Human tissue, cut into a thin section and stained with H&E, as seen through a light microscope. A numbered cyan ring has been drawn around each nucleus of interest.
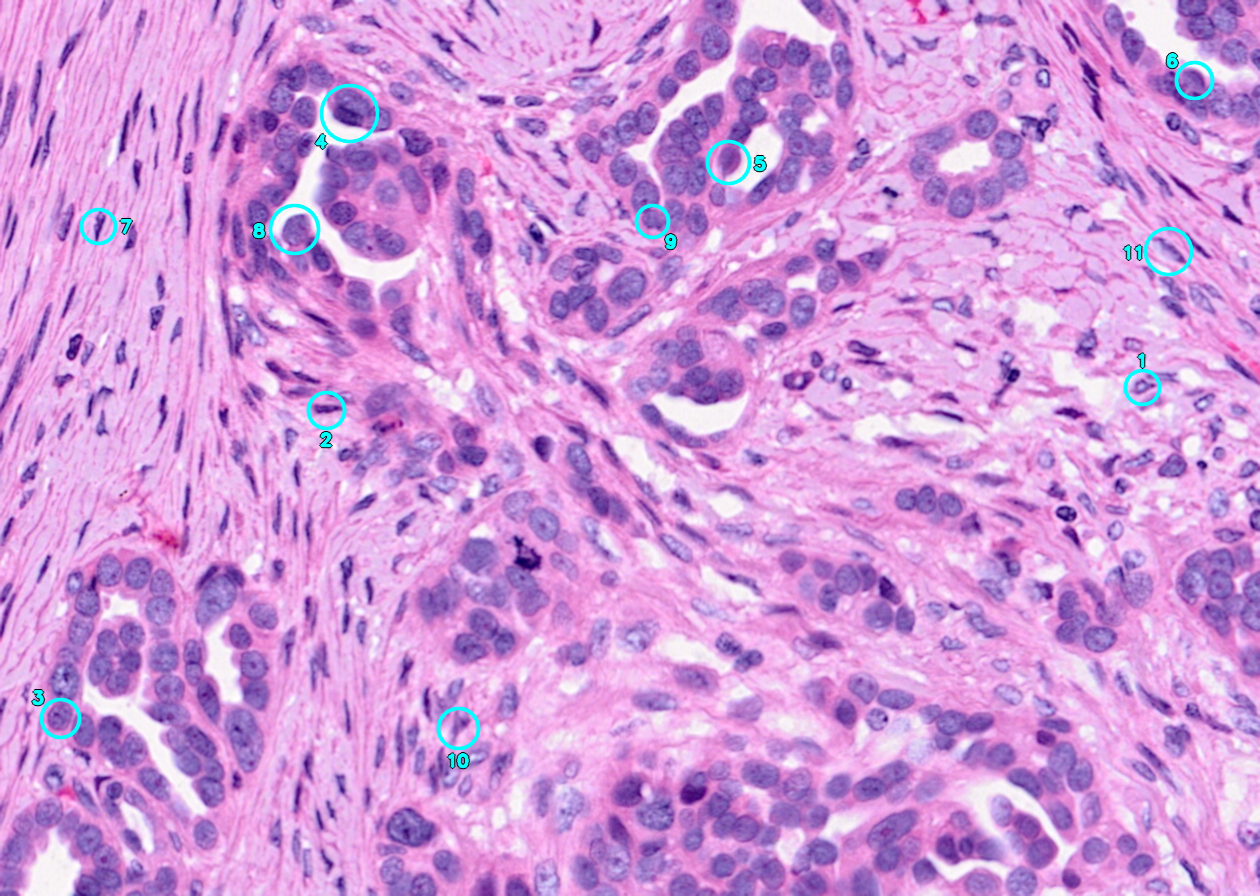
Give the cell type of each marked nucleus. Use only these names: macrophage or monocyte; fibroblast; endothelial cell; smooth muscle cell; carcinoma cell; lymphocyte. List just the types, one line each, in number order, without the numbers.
fibroblast
fibroblast
carcinoma cell
carcinoma cell
carcinoma cell
carcinoma cell
fibroblast
carcinoma cell
carcinoma cell
fibroblast
fibroblast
